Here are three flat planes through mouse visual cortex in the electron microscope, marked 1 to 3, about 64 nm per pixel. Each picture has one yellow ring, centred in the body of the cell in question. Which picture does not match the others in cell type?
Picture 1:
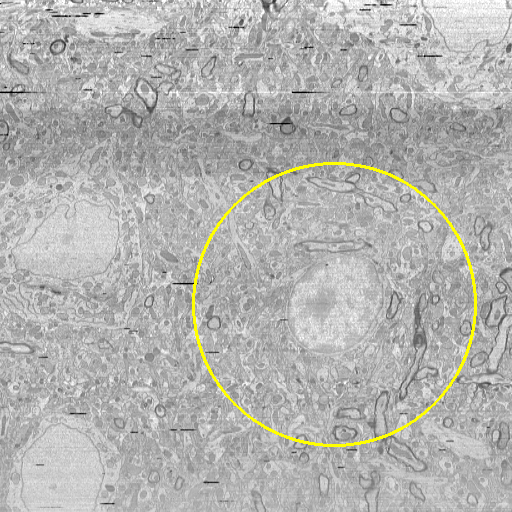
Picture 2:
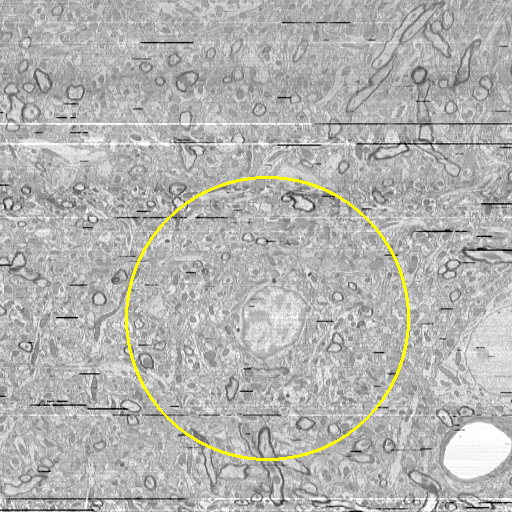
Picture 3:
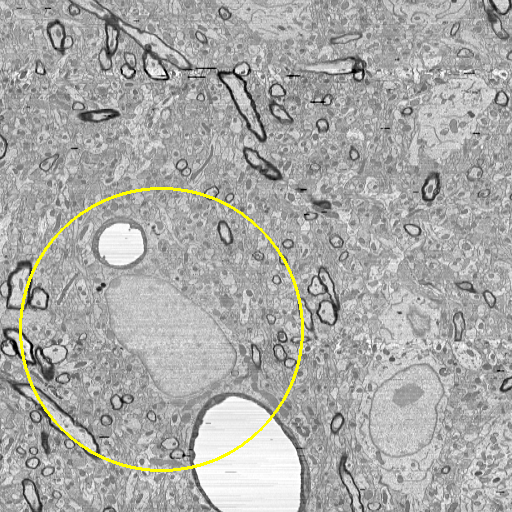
The others show oligodendrocytes, but picture 3 shows an astrocyte.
